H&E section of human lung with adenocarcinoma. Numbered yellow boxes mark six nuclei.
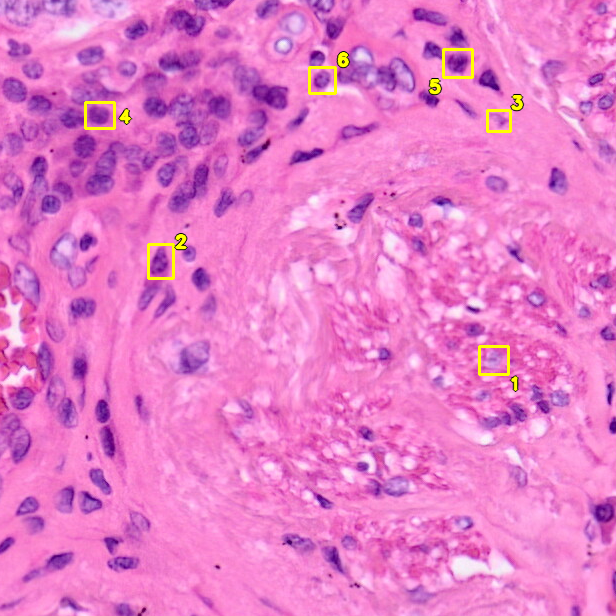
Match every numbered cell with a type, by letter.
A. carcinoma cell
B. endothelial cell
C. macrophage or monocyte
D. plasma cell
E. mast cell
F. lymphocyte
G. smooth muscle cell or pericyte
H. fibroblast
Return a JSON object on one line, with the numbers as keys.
{"1": "G", "2": "D", "3": "H", "4": "D", "5": "D", "6": "E"}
